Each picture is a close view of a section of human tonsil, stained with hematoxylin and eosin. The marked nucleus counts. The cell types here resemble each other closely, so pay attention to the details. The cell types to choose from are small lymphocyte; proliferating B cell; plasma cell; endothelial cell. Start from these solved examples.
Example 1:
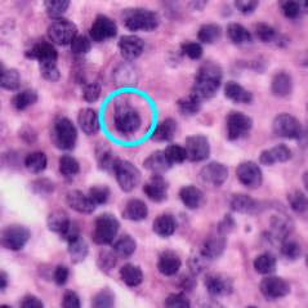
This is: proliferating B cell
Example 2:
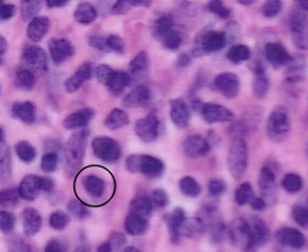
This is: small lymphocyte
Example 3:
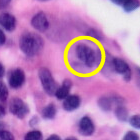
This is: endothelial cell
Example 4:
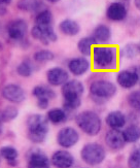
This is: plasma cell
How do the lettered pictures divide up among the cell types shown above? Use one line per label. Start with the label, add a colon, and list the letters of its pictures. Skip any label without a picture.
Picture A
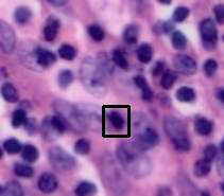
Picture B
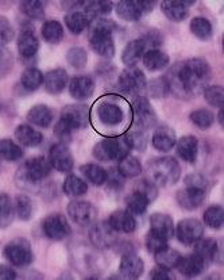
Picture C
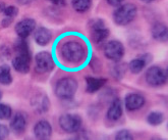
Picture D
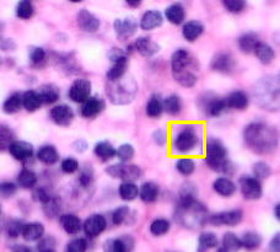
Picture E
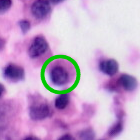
small lymphocyte: B
proliferating B cell: D
plasma cell: C, E
endothelial cell: A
